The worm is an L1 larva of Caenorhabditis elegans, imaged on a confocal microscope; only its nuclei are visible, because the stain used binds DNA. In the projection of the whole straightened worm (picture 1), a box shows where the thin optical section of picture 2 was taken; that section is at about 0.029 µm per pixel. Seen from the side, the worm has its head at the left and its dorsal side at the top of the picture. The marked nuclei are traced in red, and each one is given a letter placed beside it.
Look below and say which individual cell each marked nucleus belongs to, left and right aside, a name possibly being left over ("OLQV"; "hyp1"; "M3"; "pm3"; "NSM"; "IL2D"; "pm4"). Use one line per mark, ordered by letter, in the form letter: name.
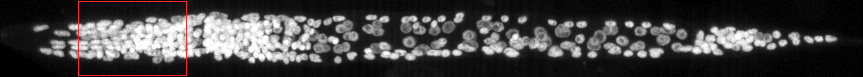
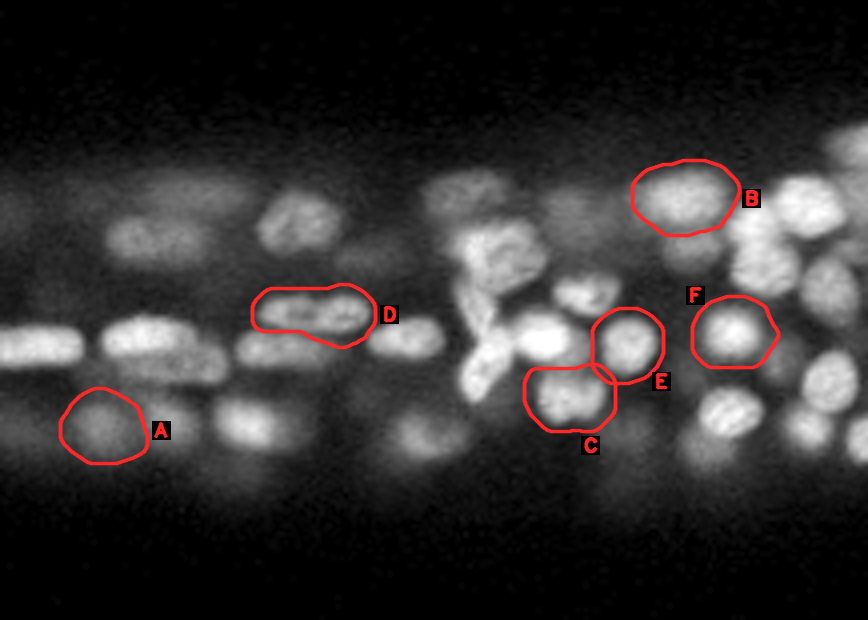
A: hyp1
B: IL2D
C: pm4
D: pm3
E: NSM
F: M3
